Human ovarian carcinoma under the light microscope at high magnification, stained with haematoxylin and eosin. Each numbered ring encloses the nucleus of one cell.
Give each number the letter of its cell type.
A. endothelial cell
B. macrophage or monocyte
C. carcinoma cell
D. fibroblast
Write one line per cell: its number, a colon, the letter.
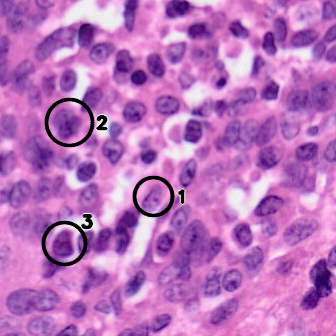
1: B
2: C
3: C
